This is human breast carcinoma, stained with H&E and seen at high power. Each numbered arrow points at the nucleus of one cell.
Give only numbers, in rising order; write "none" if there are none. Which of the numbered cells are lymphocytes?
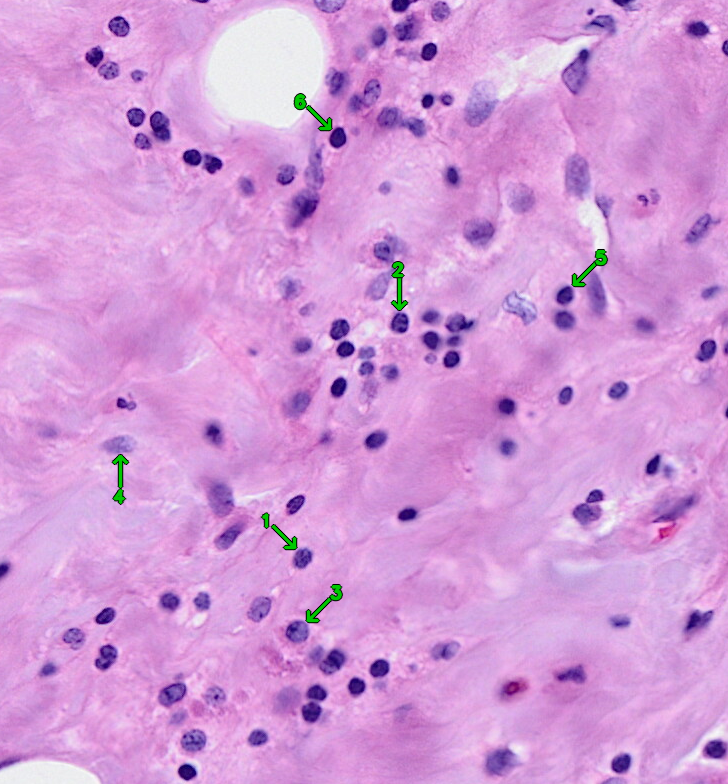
1, 2, 5, 6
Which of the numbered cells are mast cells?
3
